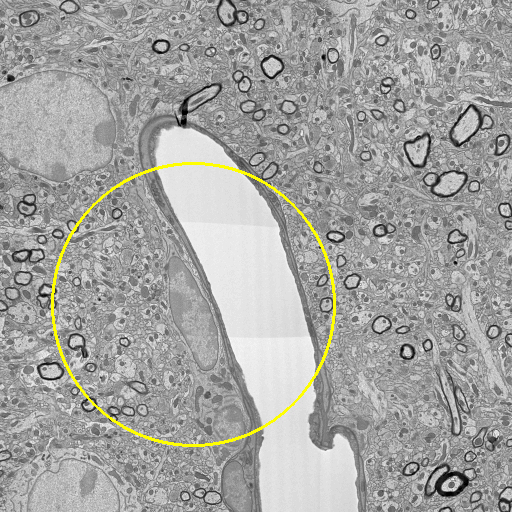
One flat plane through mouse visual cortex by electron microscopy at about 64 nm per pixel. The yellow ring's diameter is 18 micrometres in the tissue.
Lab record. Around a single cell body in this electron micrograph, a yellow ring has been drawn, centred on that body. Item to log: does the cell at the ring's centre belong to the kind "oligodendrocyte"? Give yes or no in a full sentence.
No, in the micrograph, the ringed cell at the centre belongs to a different kind.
